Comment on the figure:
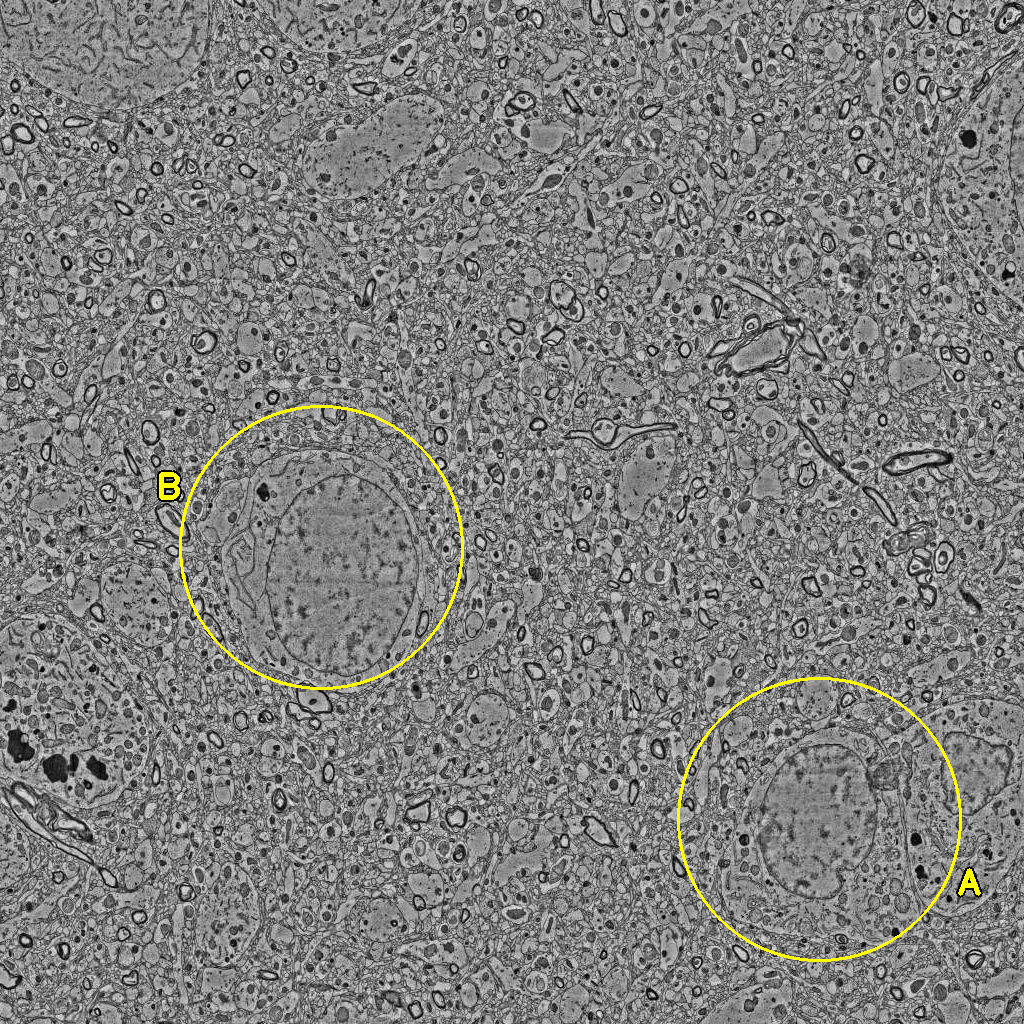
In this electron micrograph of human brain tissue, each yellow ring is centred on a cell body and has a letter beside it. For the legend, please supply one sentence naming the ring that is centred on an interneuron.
Ring A is centred on that cell.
